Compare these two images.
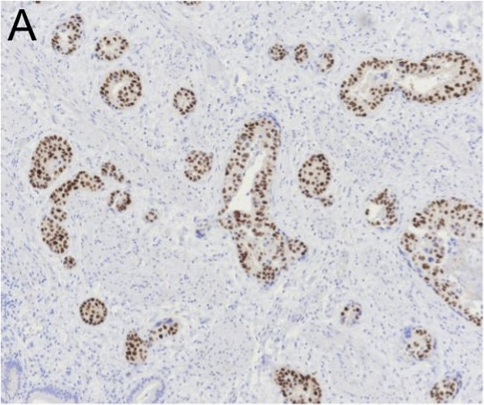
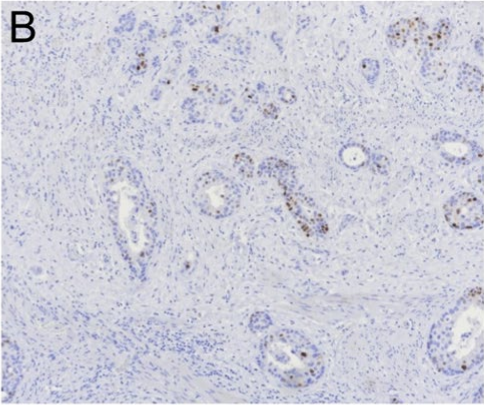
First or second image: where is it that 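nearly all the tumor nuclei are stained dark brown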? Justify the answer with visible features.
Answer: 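Second image: only scattered nuclei in the glands are brown, many are blue. First image: almost every nucleus in the glands and nests is dark brown.
The first image.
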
